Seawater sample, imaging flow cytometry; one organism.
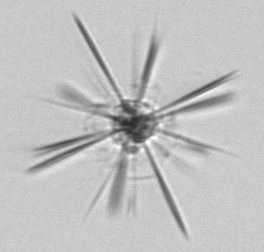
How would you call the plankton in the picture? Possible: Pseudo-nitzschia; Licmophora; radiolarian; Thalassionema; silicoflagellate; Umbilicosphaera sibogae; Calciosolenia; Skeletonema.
I would call it a radiolarian.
